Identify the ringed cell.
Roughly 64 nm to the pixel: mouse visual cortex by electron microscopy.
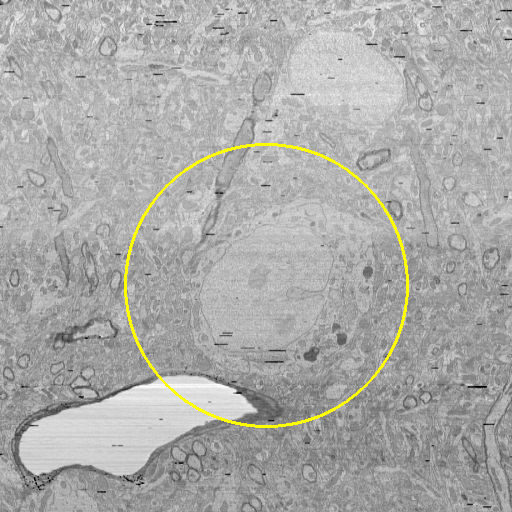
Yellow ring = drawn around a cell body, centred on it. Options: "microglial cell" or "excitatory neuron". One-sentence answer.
What the ring is centred on is an excitatory neuron.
